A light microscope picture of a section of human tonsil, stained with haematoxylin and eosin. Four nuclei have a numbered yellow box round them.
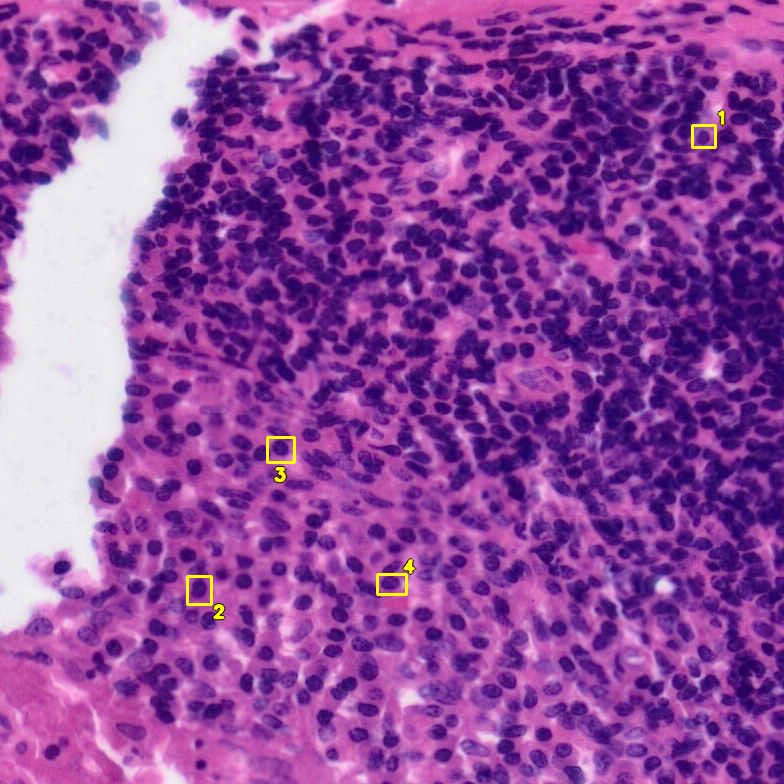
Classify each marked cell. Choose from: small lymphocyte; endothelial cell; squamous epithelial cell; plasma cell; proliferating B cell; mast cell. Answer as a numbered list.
1. small lymphocyte
2. plasma cell
3. plasma cell
4. plasma cell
